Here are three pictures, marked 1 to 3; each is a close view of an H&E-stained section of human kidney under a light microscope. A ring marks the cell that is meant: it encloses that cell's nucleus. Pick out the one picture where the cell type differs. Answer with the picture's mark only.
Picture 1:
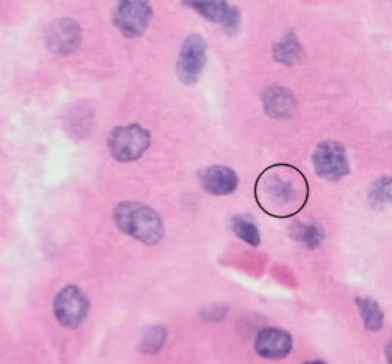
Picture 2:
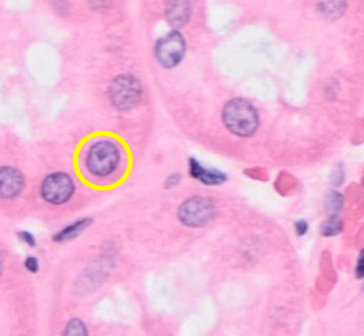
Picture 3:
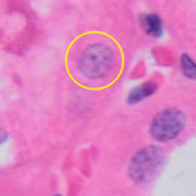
1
